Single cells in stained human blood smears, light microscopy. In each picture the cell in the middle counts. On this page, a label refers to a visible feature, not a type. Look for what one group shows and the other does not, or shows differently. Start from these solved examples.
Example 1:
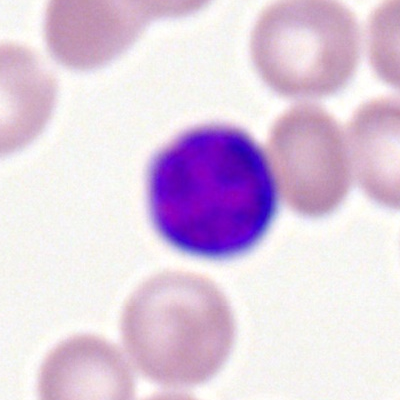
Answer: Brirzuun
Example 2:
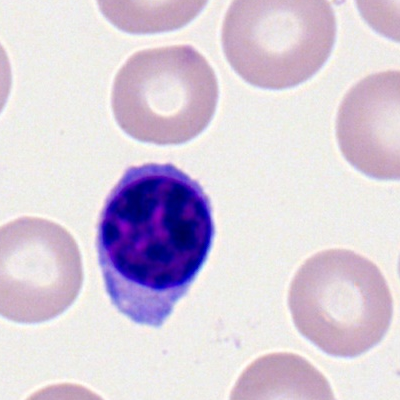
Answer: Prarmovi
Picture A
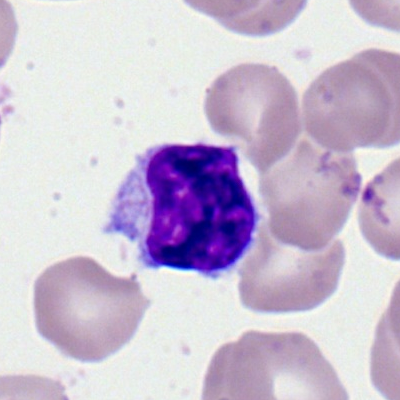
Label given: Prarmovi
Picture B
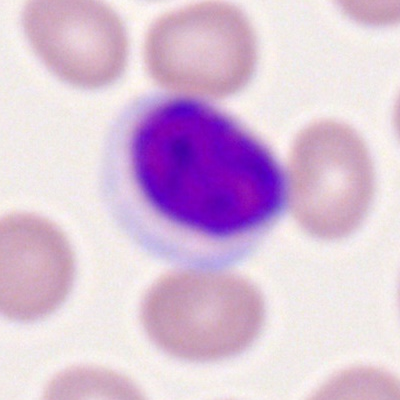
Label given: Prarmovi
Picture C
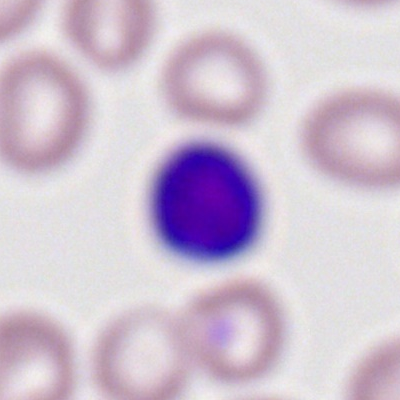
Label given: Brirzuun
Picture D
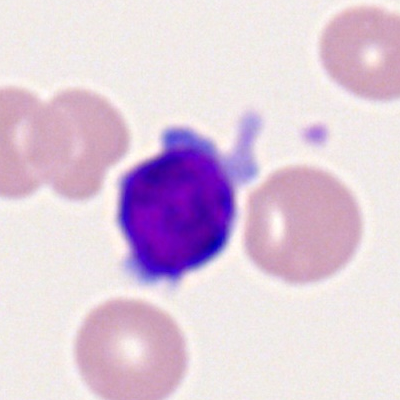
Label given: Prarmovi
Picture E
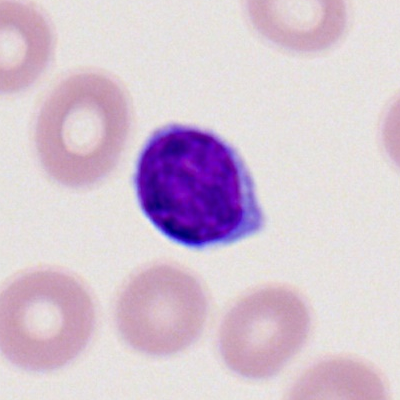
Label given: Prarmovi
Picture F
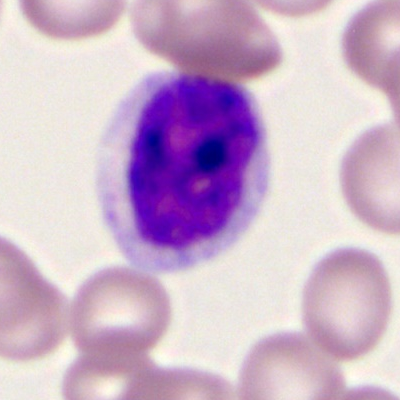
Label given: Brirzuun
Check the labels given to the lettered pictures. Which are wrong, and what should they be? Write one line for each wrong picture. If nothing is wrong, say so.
B: change Prarmovi to Brirzuun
